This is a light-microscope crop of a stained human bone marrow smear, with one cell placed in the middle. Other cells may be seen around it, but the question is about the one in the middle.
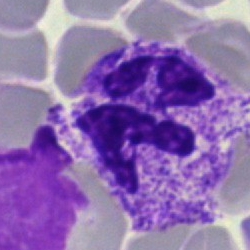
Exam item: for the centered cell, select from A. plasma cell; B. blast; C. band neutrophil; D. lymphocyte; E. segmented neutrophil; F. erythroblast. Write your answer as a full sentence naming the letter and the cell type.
That cell in the center is a segmented neutrophil, hence option E.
